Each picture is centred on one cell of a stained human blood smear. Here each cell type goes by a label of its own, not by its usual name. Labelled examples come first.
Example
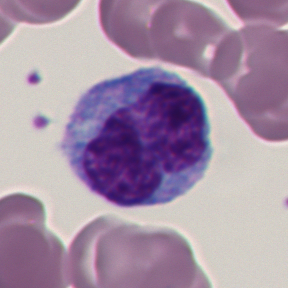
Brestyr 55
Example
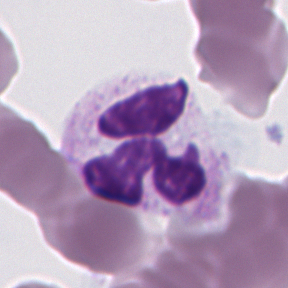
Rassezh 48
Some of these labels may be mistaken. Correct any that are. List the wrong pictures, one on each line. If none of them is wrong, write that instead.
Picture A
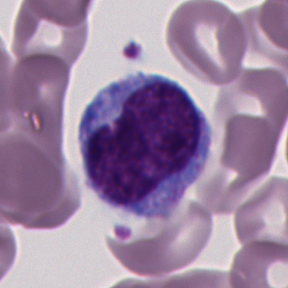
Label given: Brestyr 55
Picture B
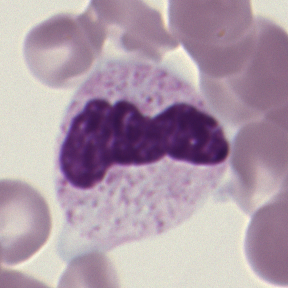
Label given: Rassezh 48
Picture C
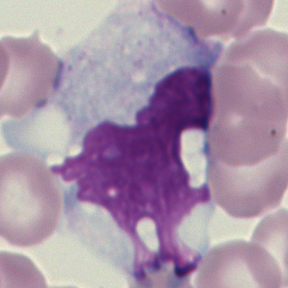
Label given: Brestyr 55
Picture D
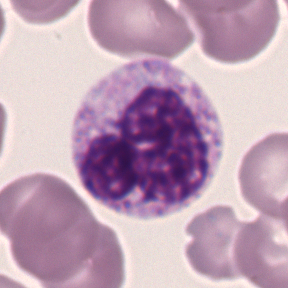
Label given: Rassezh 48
None of the labels needs changing.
